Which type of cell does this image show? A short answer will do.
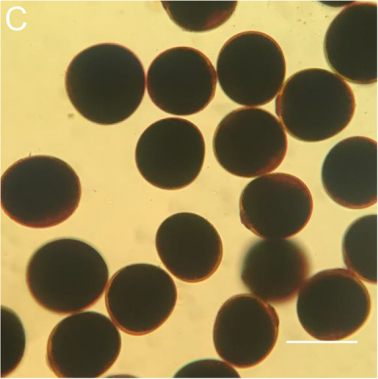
pollen grains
